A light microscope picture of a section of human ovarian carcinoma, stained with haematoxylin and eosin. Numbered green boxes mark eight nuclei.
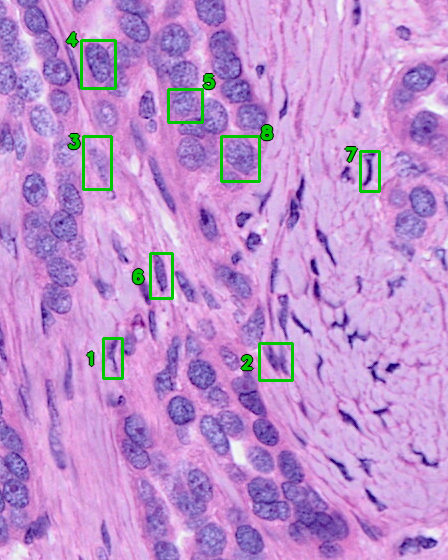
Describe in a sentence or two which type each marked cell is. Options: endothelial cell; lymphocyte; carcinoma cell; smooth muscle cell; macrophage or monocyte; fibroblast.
Cells 1, 2, 3, 6 and 7 are fibroblasts. Cells 4, 5 and 8 are carcinoma cells.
